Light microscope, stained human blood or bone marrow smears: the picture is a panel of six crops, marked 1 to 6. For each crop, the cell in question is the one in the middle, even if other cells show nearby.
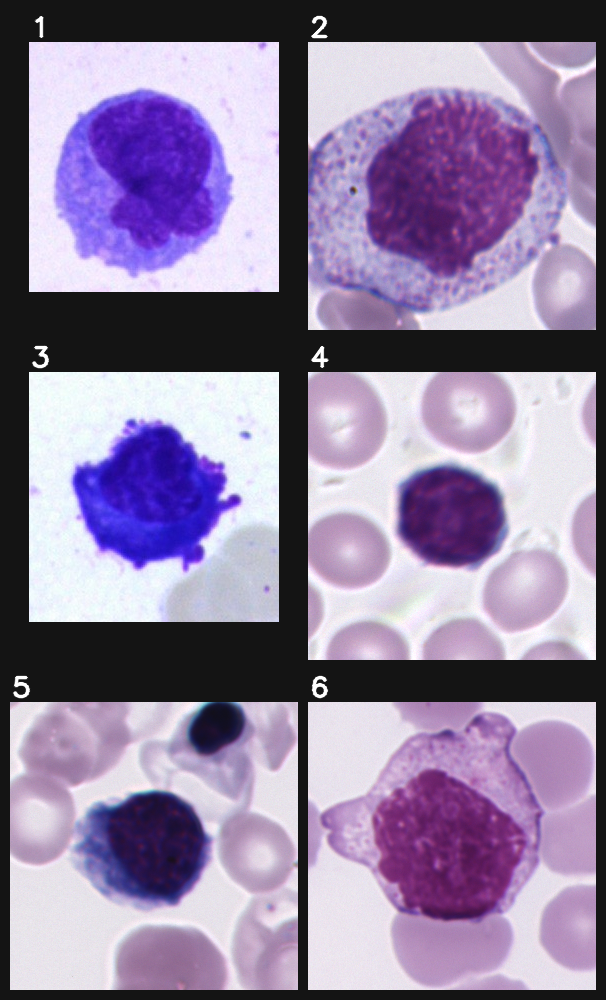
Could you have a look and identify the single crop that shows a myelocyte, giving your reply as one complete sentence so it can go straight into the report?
The crop that shows a myelocyte is crop 6.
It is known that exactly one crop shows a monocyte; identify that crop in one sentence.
The crop carrying a monocyte at the center is crop 1.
